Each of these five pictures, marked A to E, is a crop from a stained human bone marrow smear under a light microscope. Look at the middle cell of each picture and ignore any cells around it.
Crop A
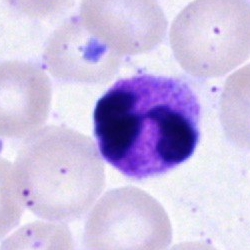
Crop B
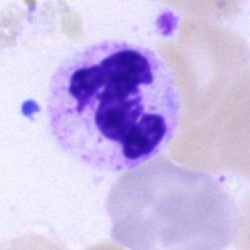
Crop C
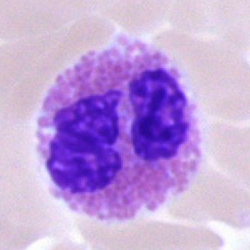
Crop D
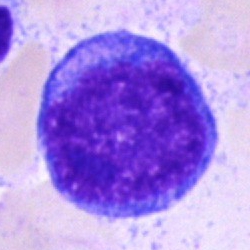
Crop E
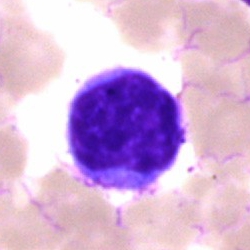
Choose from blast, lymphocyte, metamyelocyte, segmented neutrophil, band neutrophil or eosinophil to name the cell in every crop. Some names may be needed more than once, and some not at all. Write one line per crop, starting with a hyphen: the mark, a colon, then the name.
- A: segmented neutrophil
- B: segmented neutrophil
- C: eosinophil
- D: blast
- E: lymphocyte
